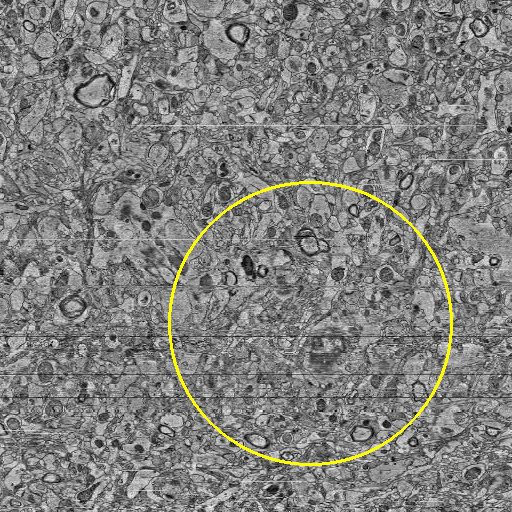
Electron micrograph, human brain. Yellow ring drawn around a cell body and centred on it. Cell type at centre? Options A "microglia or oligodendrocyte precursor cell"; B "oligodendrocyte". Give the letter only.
A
